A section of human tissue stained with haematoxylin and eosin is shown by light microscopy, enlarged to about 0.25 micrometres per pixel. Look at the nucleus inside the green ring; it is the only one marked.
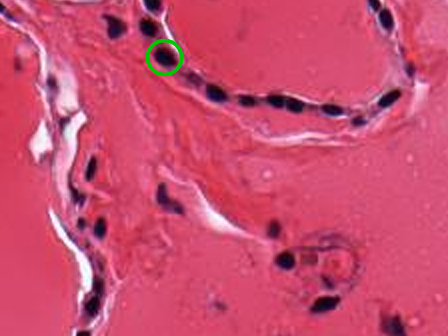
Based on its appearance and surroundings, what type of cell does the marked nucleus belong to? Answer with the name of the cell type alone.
thyroid follicular cell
